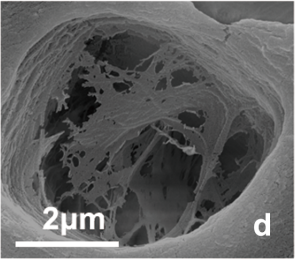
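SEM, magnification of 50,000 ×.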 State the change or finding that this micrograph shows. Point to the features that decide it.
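Many fibrils fill the tubule opening at different depths. Fibrils interconnect into sheet-like webs across the lumen.
Answer: three-dimensional network structure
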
